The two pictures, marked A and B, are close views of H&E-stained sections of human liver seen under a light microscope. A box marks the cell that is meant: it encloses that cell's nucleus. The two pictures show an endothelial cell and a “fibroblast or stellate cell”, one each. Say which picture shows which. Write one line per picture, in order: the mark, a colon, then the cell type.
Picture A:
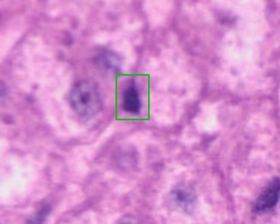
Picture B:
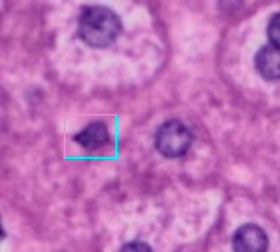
A: fibroblast or stellate cell
B: endothelial cell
